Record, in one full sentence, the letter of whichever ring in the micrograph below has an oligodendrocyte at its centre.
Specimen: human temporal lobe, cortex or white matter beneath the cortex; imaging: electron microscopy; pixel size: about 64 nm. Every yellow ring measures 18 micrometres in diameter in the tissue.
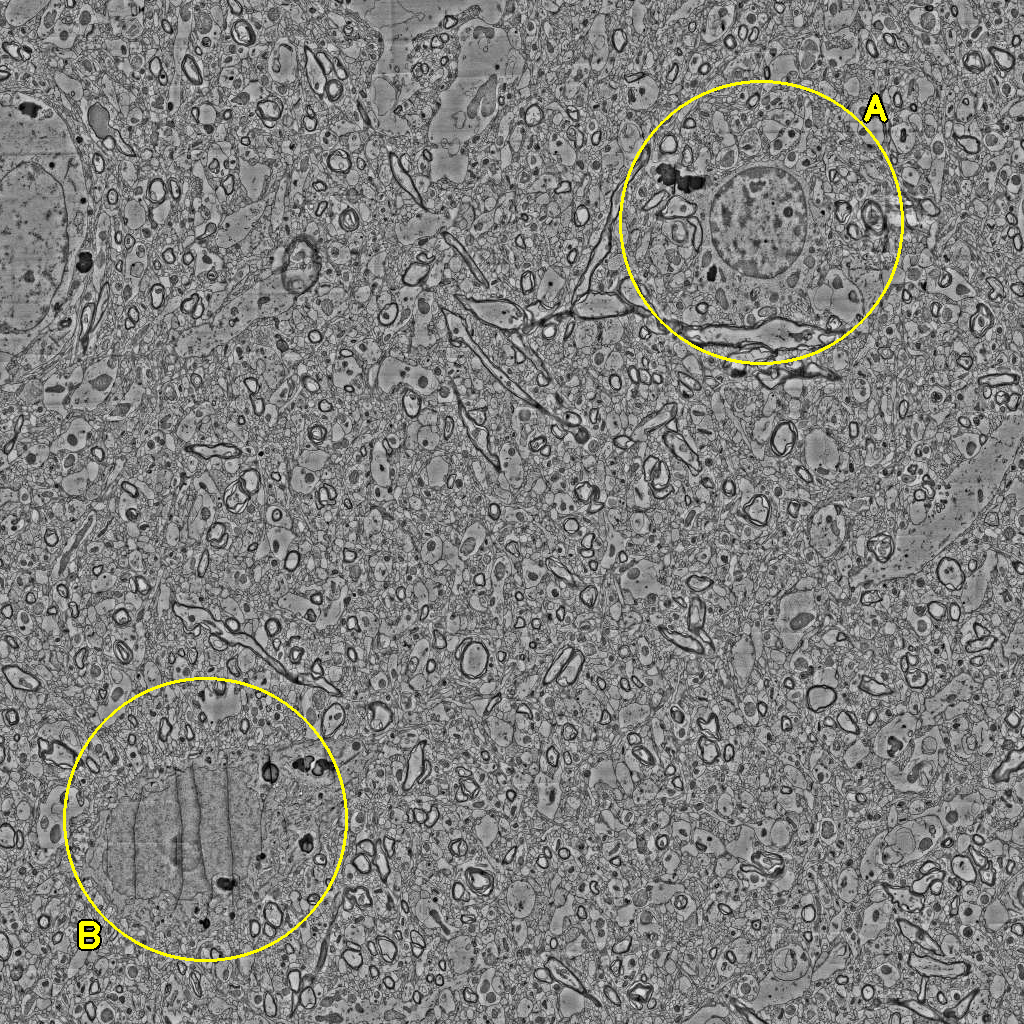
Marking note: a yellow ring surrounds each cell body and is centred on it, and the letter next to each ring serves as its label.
For the cell asked for, the ring centred on it carries the letter A.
